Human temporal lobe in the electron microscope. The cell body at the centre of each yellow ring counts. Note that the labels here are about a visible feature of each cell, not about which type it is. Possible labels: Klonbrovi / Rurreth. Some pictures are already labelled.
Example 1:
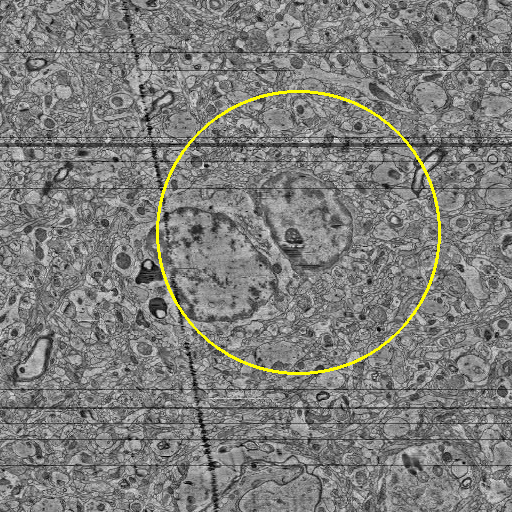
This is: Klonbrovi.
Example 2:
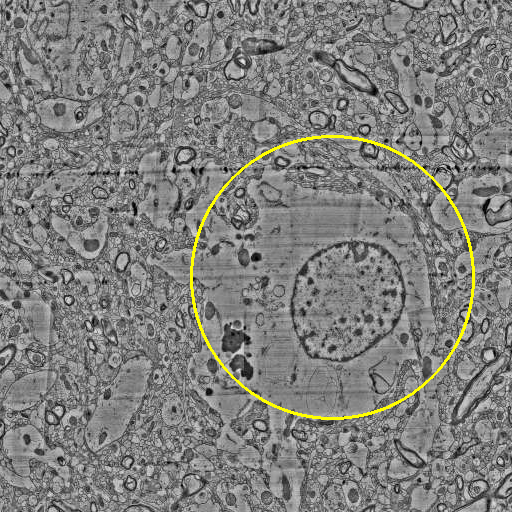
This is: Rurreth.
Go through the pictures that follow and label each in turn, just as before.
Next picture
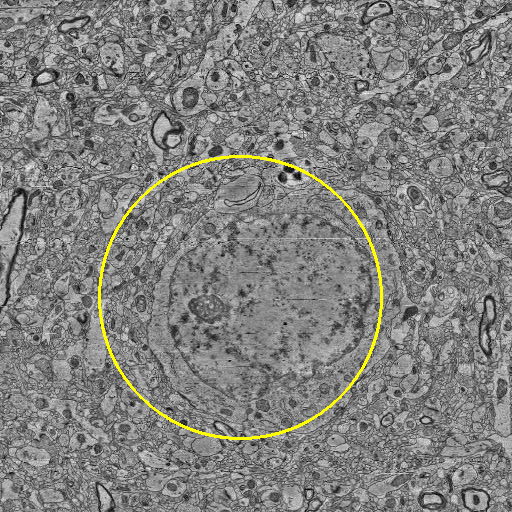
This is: Klonbrovi.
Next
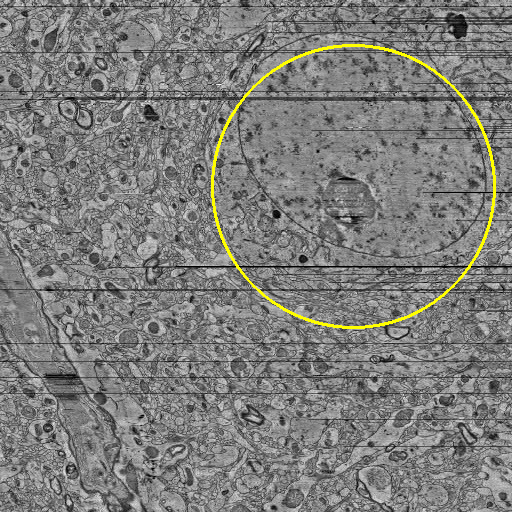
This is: Klonbrovi.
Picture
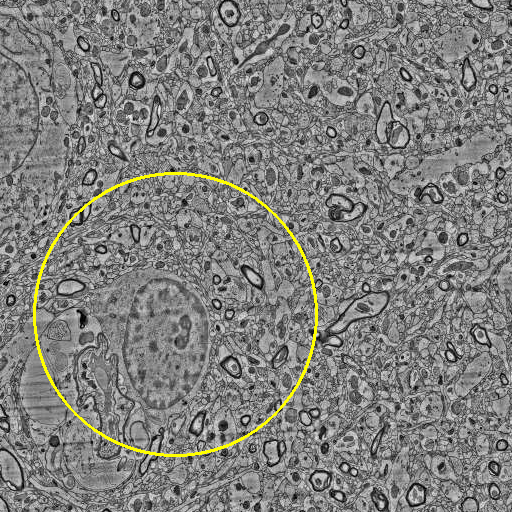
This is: Klonbrovi.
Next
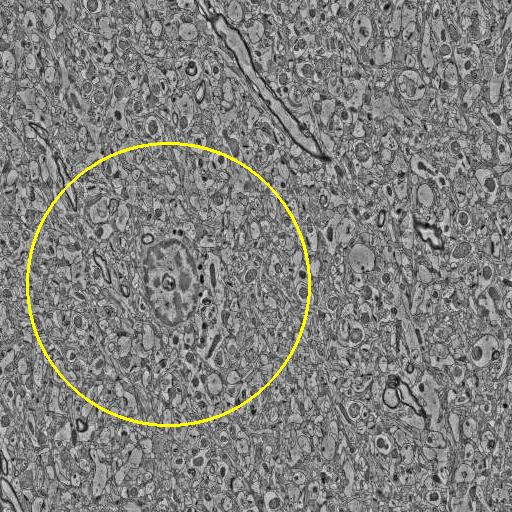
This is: Klonbrovi.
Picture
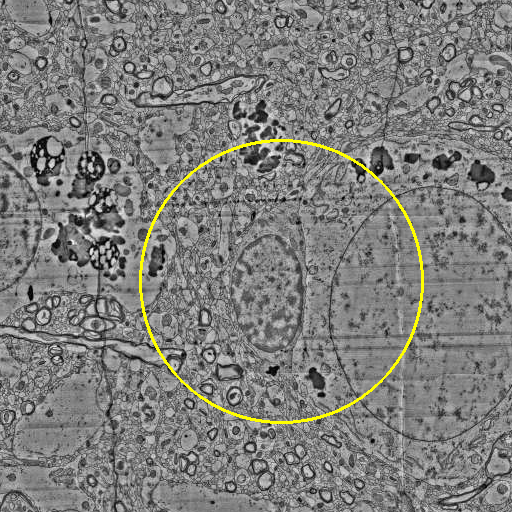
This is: Rurreth.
